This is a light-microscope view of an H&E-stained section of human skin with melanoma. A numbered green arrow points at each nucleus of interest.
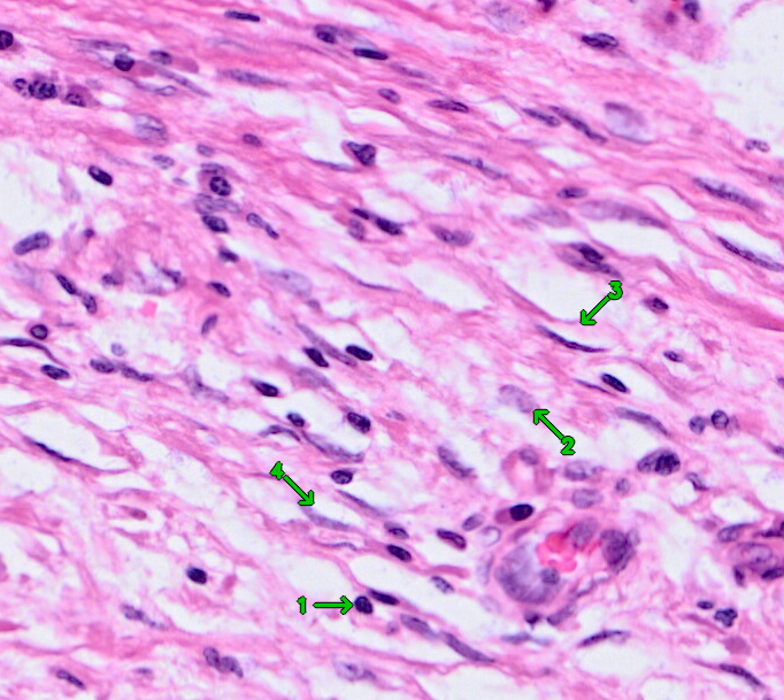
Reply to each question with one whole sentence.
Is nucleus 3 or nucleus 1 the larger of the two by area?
Nucleus 3 covers more area, about 1.5 times as much as nucleus 1.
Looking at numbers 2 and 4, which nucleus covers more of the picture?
Nucleus 4 is larger, with an area about 1.5 times that of nucleus 2.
